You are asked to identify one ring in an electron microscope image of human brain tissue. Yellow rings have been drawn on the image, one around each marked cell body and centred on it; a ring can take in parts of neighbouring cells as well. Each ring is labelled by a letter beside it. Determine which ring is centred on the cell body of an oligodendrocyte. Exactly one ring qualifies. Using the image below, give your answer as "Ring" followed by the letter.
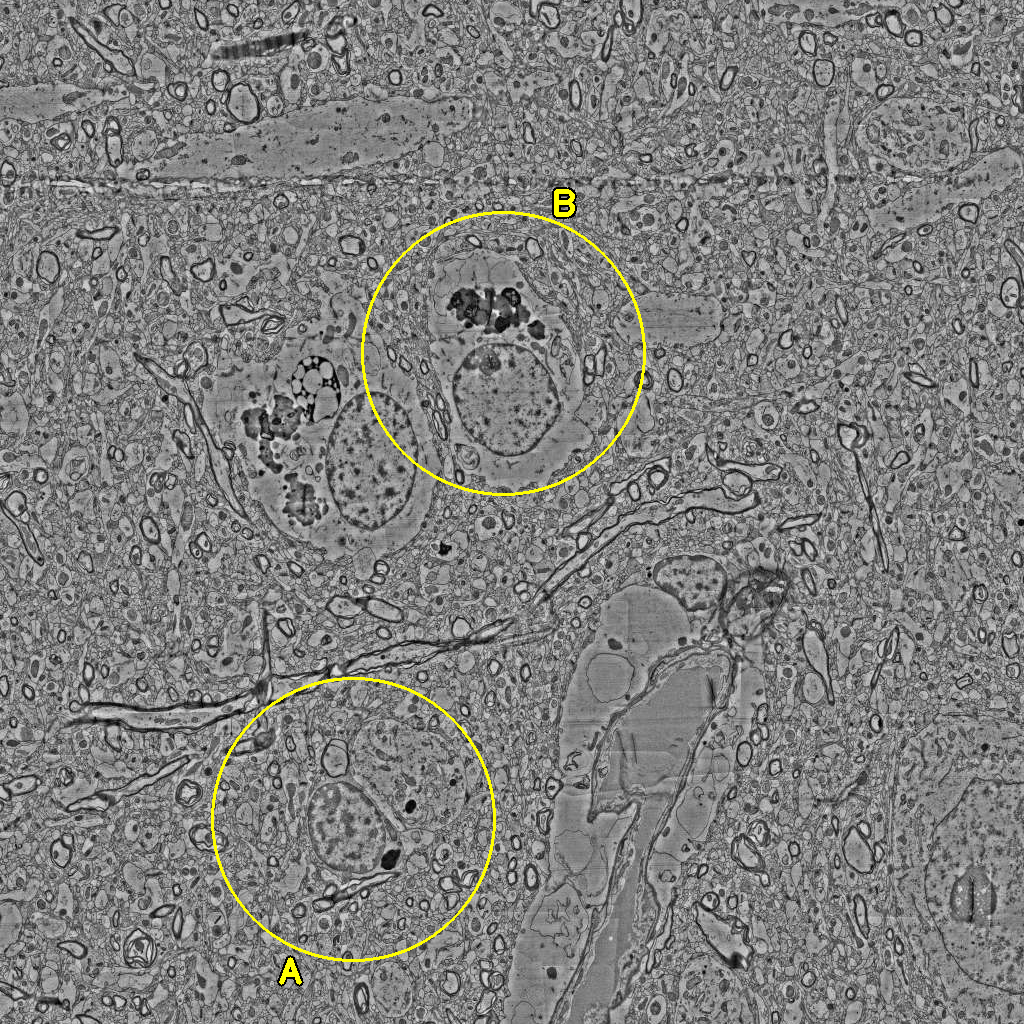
Ring A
